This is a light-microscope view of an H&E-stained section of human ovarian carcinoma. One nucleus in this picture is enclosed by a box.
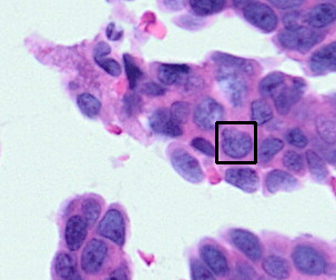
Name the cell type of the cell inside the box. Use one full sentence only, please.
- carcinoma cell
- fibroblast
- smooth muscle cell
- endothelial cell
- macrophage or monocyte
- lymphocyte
At the level of cell identity, the cell inside the box is a carcinoma cell.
